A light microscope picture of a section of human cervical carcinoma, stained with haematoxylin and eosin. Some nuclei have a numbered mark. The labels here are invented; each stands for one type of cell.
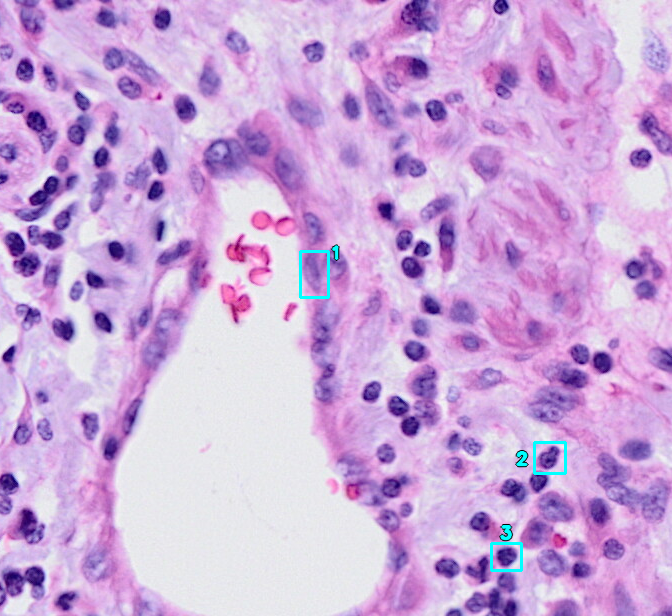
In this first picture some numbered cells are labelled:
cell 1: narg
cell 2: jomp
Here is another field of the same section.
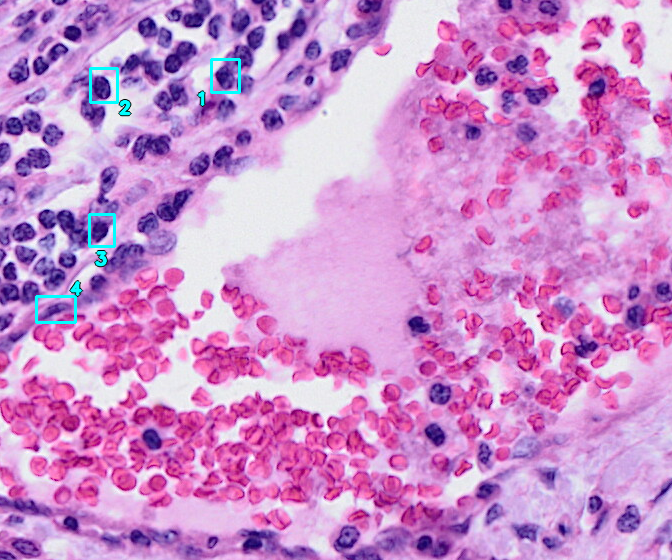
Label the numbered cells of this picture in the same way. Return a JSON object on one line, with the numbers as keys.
{"1": "jomp", "2": "jomp", "3": "jomp", "4": "narg"}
